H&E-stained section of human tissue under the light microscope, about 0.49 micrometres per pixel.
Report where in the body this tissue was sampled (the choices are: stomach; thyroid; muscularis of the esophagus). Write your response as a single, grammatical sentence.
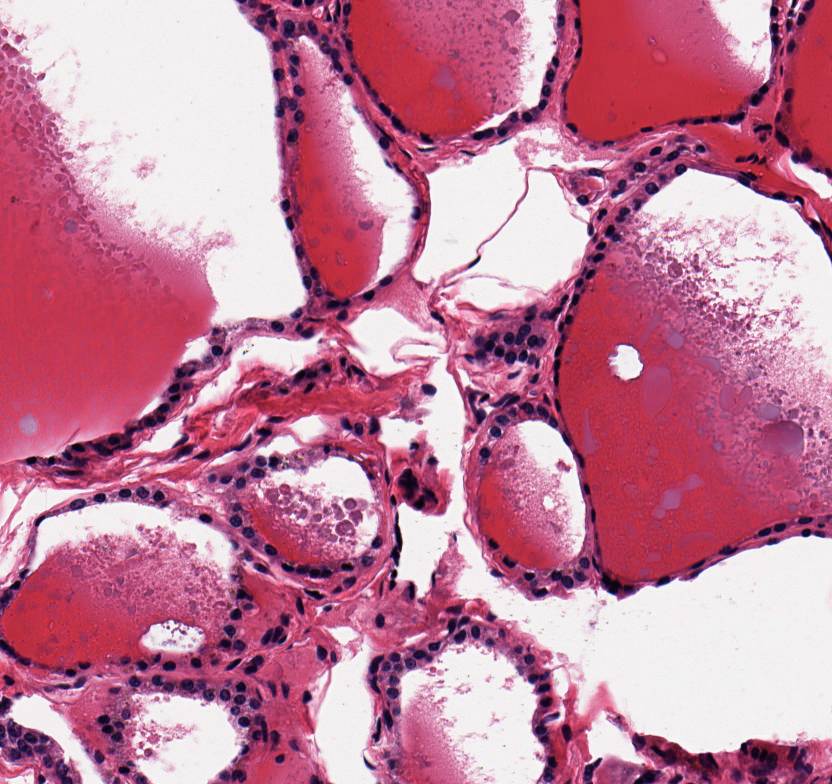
It is from the thyroid that this section was cut.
